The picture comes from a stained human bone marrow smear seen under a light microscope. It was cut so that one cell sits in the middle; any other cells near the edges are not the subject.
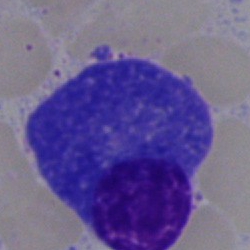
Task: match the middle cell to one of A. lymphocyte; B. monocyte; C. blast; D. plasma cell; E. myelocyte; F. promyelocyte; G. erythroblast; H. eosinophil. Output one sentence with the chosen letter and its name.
Located in the middle of the crop is a plasma cell, and option D is therefore correct.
